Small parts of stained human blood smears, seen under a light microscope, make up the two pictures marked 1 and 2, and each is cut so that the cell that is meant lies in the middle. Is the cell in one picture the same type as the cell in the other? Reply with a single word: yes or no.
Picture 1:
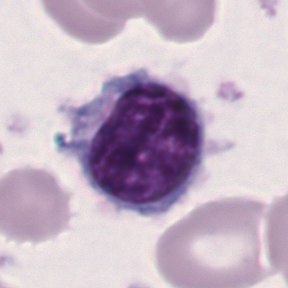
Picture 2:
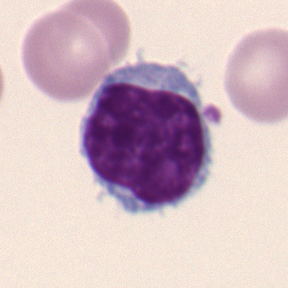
no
